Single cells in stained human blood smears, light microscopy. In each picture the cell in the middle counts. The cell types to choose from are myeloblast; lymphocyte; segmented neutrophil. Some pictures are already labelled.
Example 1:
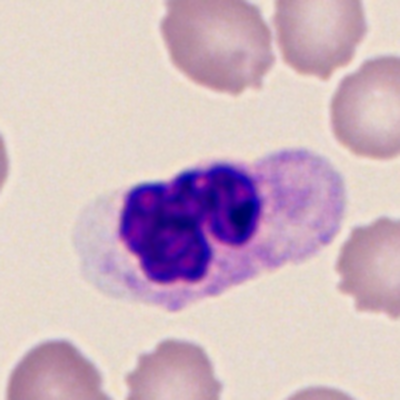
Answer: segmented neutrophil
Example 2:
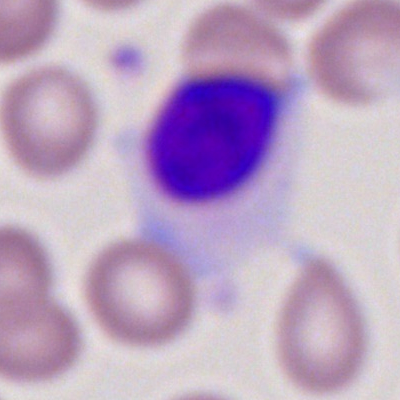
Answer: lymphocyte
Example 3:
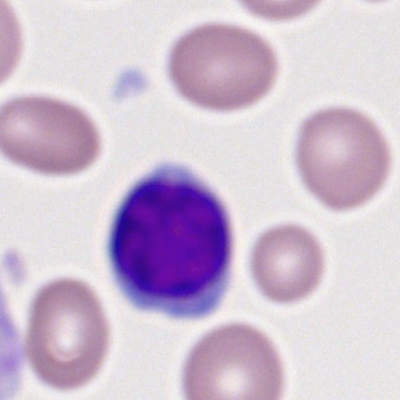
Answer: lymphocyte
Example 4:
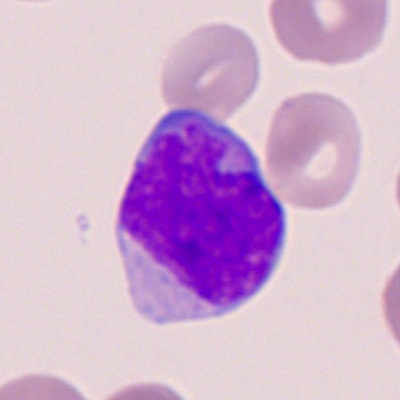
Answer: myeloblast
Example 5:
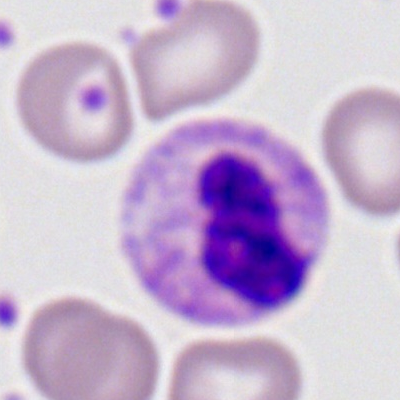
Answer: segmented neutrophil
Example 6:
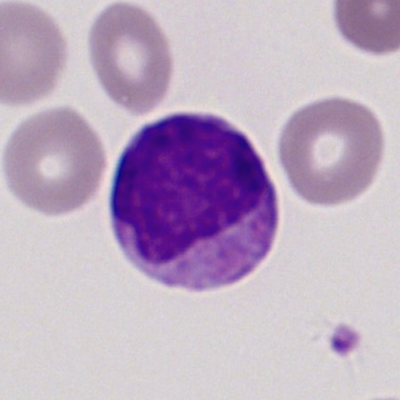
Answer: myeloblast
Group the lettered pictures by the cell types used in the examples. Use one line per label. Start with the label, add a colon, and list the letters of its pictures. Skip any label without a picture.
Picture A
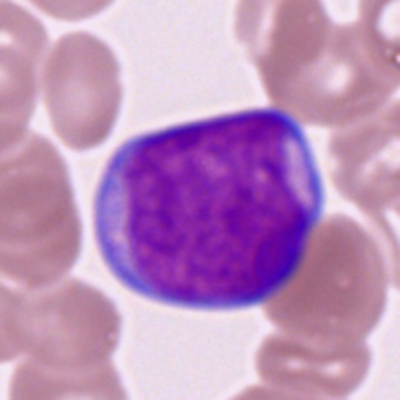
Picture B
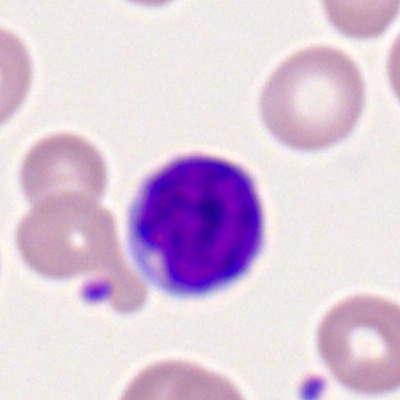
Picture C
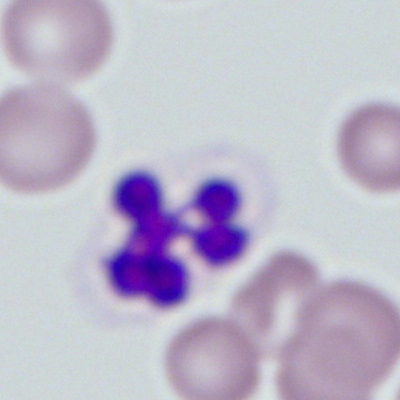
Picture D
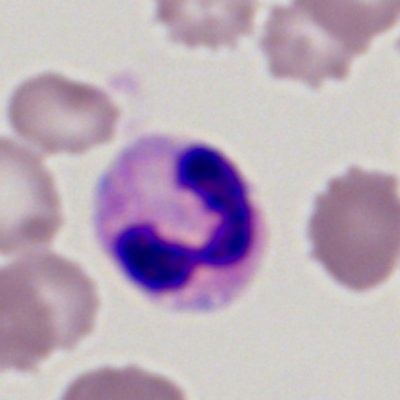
myeloblast: A
lymphocyte: B
segmented neutrophil: C, D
